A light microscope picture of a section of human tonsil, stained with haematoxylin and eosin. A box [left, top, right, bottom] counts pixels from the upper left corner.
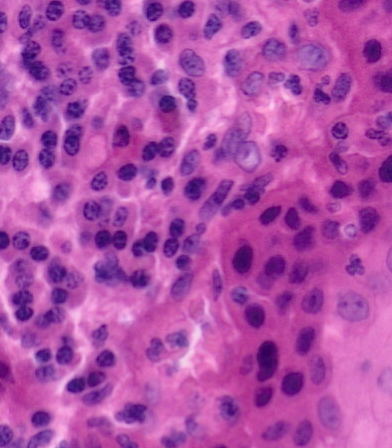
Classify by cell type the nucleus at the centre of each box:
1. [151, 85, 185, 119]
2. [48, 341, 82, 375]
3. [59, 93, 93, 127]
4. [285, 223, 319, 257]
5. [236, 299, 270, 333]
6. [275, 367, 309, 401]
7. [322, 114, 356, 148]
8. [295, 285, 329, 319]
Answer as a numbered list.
1. plasma cell
2. plasma cell
3. plasma cell
4. squamous epithelial cell
5. squamous epithelial cell
6. squamous epithelial cell
7. plasma cell
8. squamous epithelial cell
